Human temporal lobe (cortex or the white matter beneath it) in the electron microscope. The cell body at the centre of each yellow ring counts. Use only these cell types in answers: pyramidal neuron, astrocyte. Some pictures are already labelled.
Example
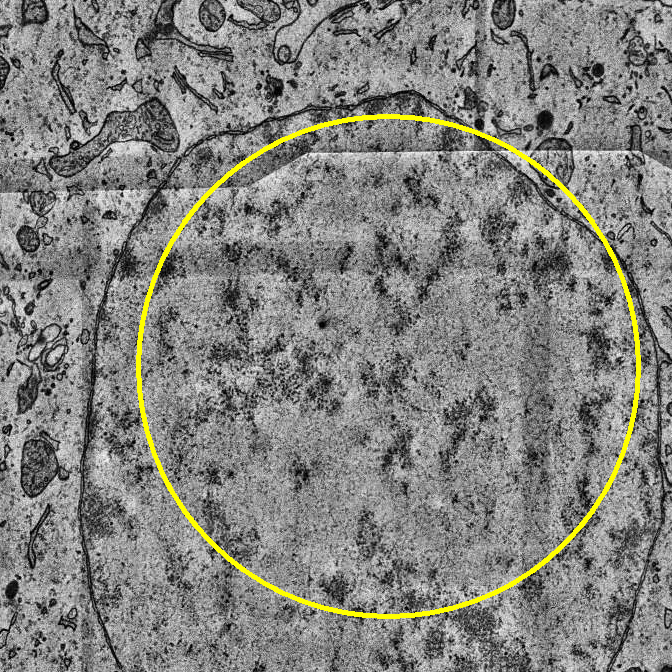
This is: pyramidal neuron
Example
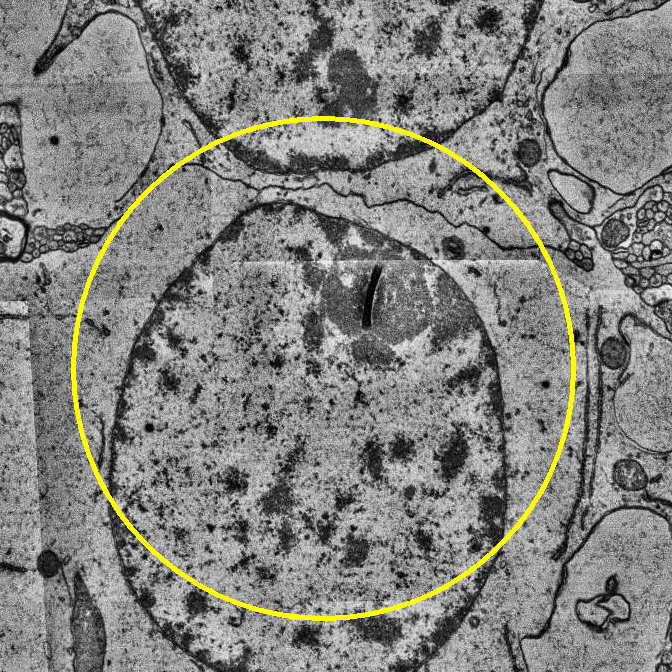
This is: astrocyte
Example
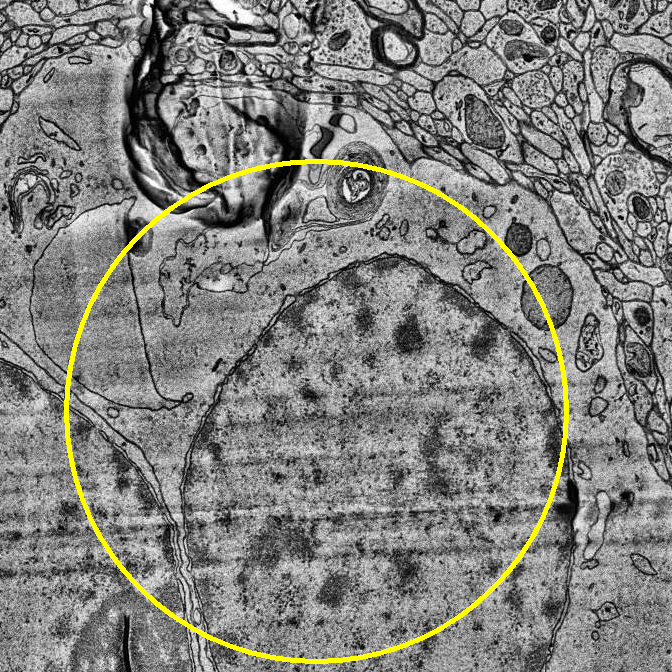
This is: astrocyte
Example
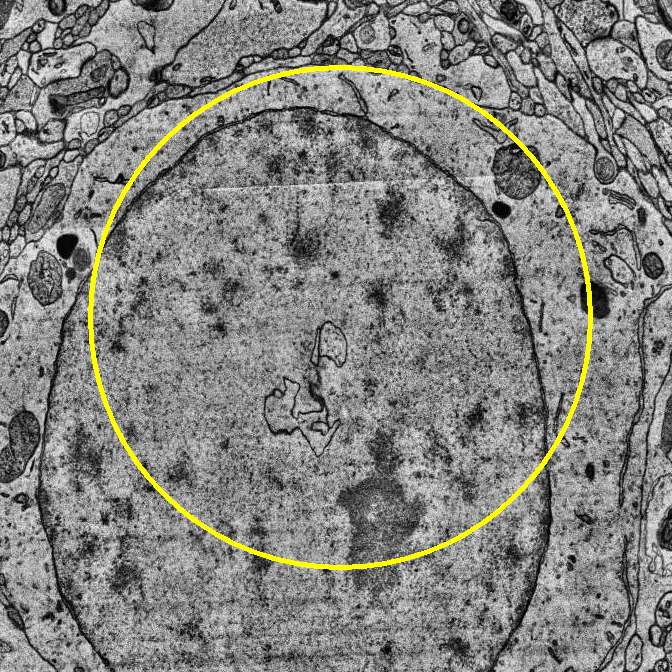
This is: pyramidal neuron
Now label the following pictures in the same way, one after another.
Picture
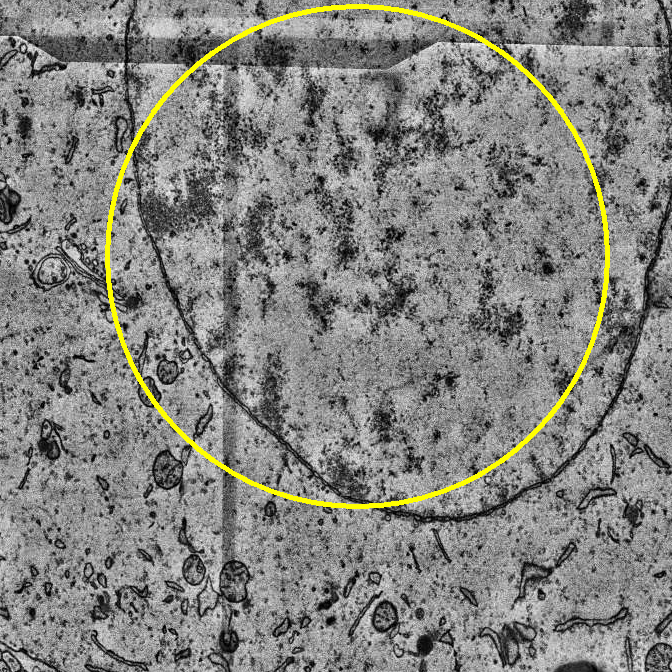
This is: pyramidal neuron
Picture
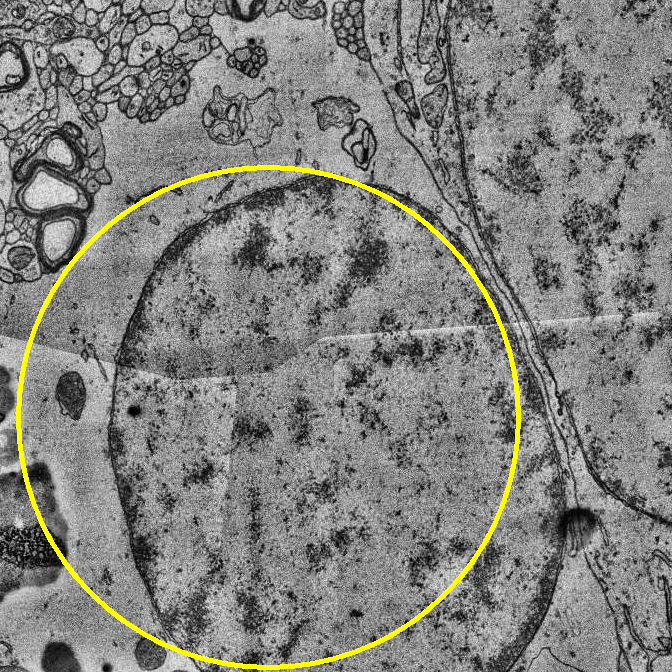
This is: astrocyte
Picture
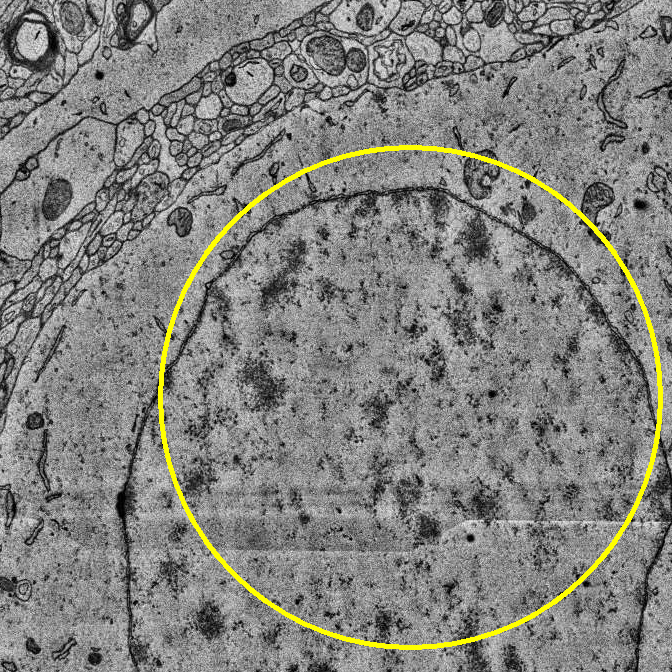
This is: pyramidal neuron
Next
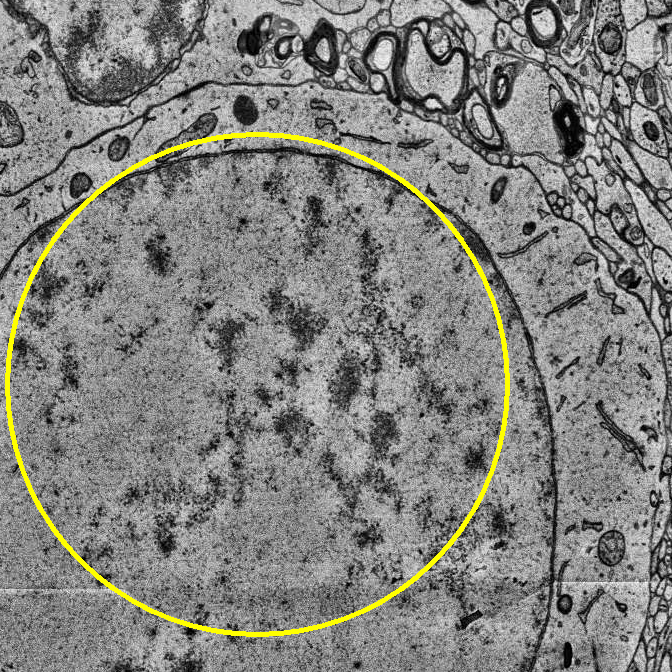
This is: pyramidal neuron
